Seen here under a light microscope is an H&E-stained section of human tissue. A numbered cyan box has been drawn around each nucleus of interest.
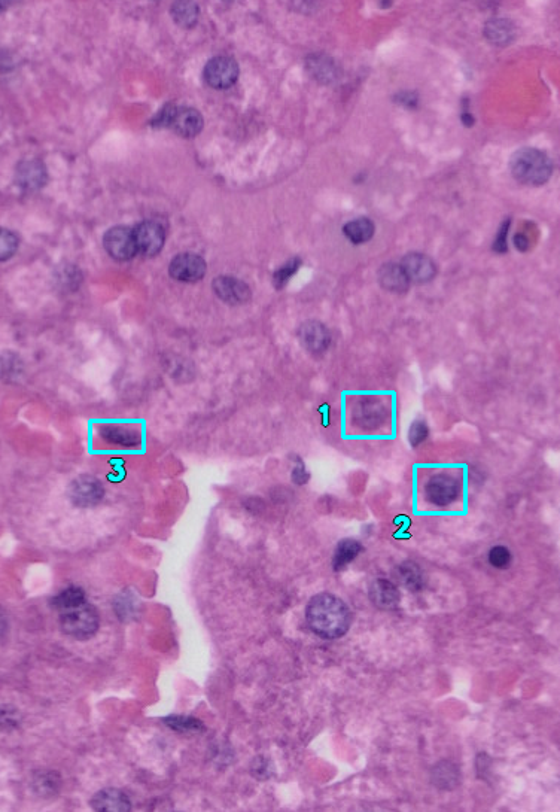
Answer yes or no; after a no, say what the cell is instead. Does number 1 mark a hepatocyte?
Yes.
